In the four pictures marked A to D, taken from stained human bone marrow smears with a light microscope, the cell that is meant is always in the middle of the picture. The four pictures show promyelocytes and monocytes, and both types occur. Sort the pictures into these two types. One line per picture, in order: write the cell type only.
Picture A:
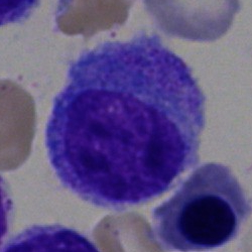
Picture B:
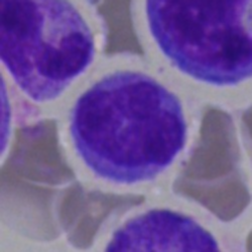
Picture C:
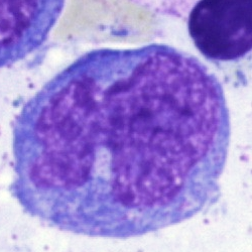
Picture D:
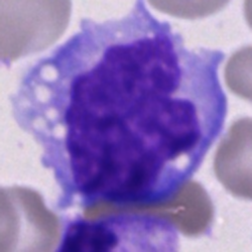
promyelocyte
monocyte
monocyte
monocyte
